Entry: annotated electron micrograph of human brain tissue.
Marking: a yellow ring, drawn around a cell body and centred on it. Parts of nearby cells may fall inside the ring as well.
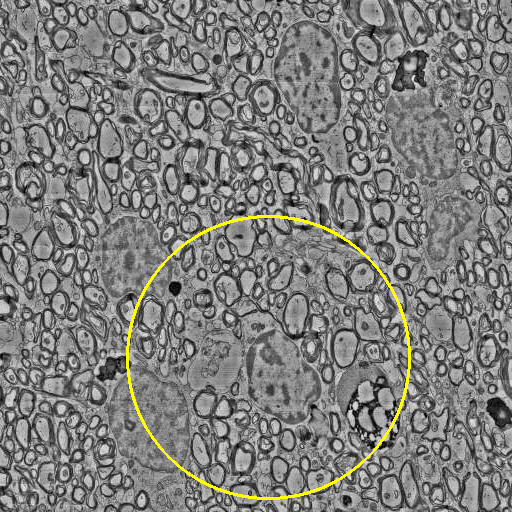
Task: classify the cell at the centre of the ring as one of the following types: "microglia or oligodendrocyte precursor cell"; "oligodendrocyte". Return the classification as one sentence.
The marked cell is classified as a microglial cell or oligodendrocyte precursor cell.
